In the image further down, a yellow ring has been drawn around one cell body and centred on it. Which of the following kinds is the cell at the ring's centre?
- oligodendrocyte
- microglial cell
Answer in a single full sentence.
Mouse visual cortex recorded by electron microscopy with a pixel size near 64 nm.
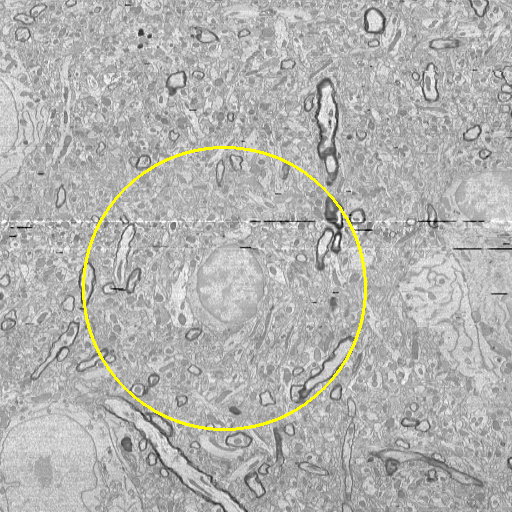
In the picture, the cell sitting at the centre of the yellow ring is an oligodendrocyte.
